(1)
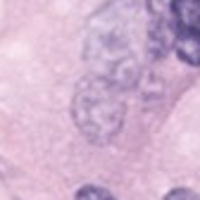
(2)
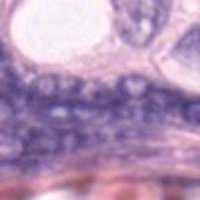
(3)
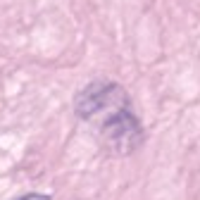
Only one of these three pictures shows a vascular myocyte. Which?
Picture 3.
